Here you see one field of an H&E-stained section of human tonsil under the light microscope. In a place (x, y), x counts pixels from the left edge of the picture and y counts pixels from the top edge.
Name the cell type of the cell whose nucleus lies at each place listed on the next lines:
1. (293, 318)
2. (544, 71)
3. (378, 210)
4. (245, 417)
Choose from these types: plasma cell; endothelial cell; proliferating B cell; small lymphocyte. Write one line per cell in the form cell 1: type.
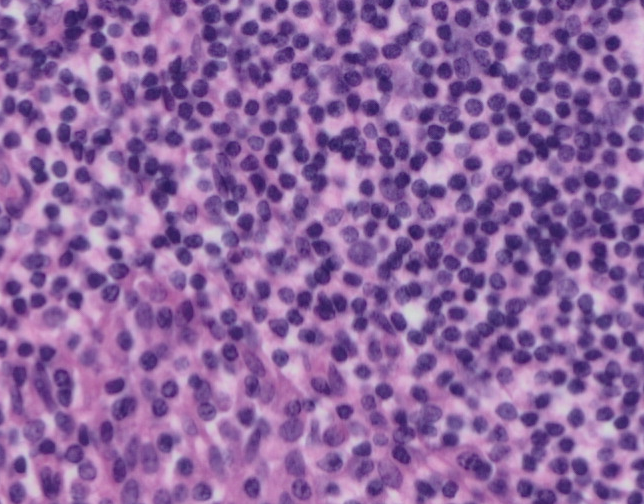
cell 1: small lymphocyte
cell 2: small lymphocyte
cell 3: small lymphocyte
cell 4: plasma cell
